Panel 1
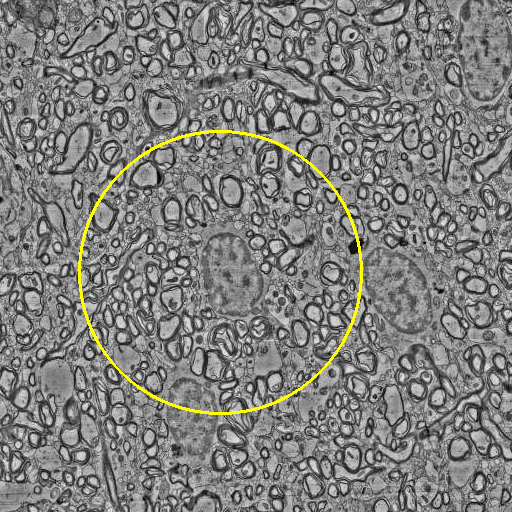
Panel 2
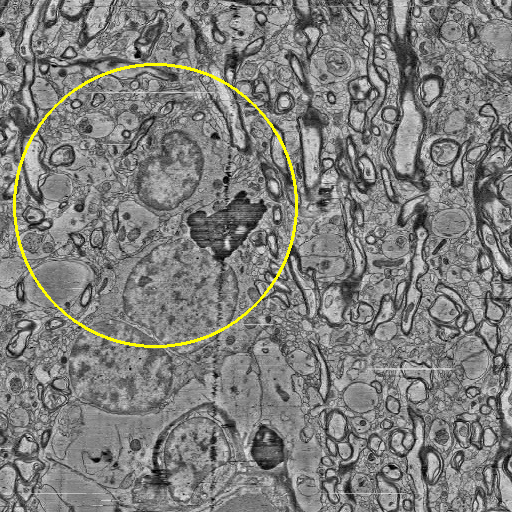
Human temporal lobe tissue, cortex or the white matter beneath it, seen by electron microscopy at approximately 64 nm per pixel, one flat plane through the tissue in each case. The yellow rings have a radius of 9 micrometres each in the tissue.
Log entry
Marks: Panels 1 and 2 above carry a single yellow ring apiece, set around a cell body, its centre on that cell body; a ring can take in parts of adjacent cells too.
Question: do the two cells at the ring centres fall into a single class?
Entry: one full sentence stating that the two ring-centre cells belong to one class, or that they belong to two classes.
The two ring-centre cells in Panels 1 and 2 belong to one class.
